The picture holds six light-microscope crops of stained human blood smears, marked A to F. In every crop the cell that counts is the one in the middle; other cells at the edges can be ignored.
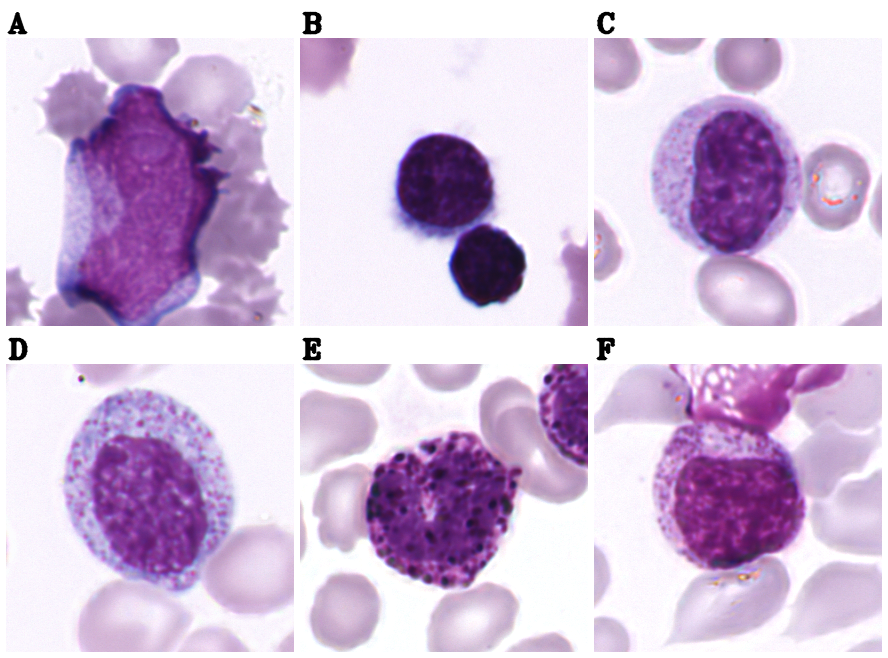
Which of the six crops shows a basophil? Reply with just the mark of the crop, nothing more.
E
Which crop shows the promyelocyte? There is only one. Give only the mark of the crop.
D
